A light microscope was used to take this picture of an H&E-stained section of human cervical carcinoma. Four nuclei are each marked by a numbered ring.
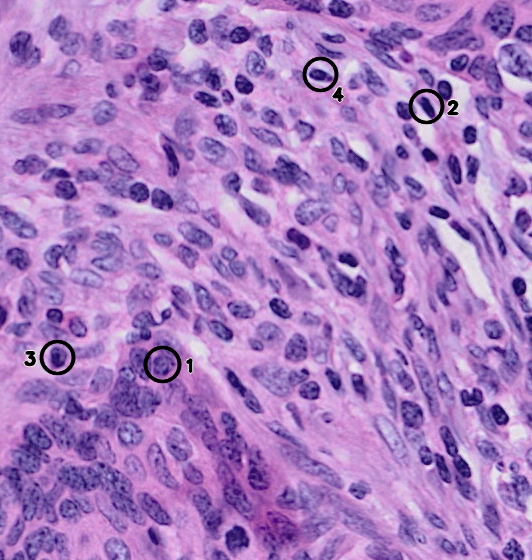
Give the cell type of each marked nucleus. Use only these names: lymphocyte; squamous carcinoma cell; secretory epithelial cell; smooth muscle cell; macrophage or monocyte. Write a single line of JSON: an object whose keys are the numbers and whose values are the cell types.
{"1": "squamous carcinoma cell", "2": "lymphocyte", "3": "lymphocyte", "4": "lymphocyte"}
